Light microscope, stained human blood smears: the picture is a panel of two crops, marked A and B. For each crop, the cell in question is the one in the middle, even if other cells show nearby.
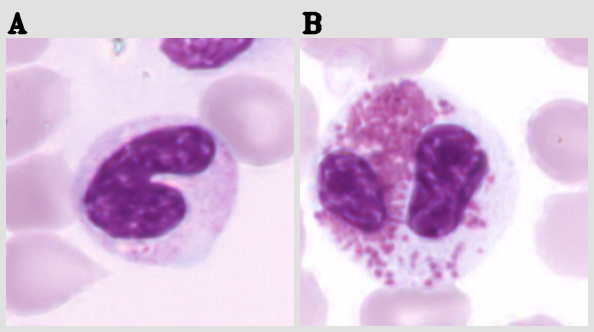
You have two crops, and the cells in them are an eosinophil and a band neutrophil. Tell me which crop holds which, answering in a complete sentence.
Crop A presents a band neutrophil, and crop B presents an eosinophil.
